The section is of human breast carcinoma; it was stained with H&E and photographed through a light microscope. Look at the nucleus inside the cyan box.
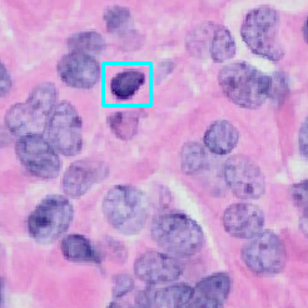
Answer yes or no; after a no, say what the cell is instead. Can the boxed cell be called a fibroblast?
No, it is a lymphocyte.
